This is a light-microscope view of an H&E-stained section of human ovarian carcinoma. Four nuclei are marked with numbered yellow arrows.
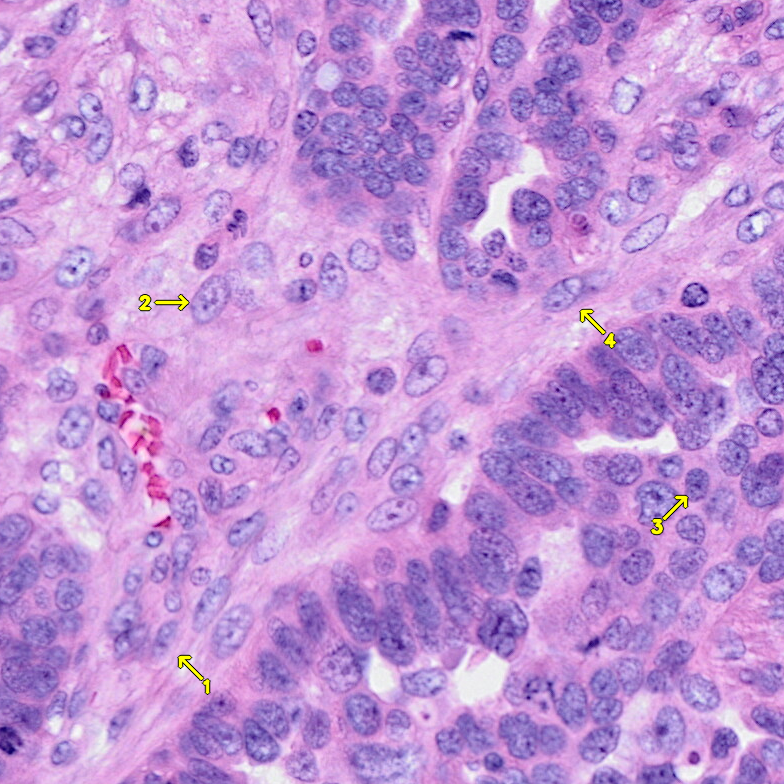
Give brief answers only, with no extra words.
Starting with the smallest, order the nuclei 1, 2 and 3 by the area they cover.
3, 1, 2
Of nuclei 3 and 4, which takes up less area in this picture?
3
